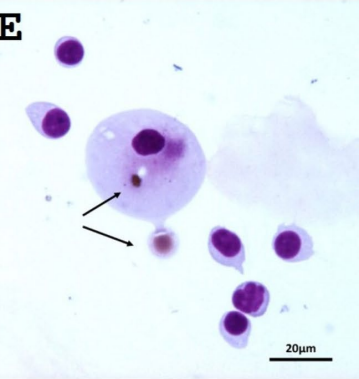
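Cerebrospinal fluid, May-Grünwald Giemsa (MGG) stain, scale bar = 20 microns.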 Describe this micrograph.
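The large cell has abundant pale lilac cytoplasm and a dense, dark purple, eccentric nucleus, with a small clear vacuole. A pale, faintly stained sheet lies to the right. Background is clear.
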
